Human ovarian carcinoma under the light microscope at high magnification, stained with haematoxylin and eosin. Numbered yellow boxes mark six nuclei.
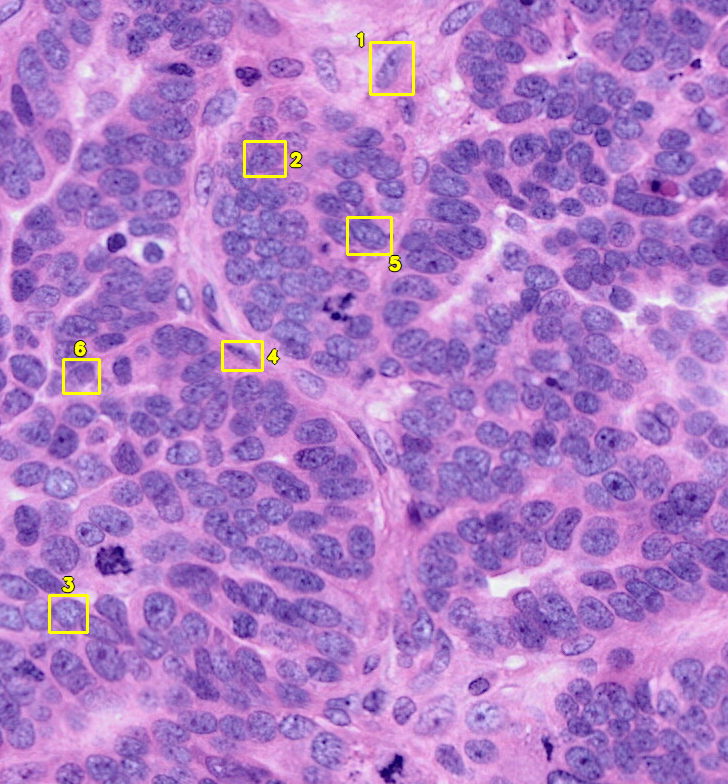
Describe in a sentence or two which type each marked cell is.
Cells 1 and 4 are fibroblasts. Cells 2, 3, 5 and 6 are carcinoma cells.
